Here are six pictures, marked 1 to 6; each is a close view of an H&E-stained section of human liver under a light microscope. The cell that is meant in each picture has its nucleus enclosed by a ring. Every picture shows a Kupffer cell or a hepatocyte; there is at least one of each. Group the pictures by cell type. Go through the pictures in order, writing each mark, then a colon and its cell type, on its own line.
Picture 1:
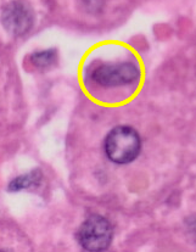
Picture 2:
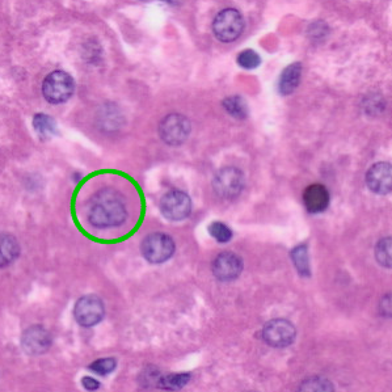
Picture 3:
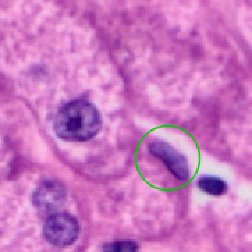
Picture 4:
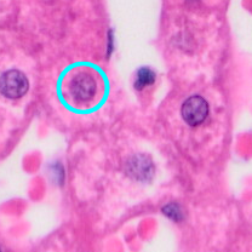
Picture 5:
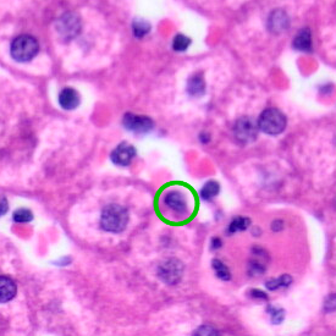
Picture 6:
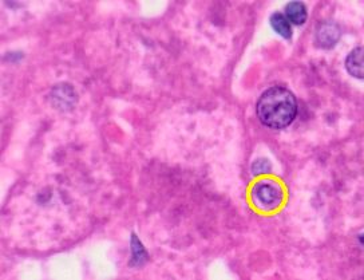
1: Kupffer cell
2: hepatocyte
3: Kupffer cell
4: hepatocyte
5: Kupffer cell
6: Kupffer cell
